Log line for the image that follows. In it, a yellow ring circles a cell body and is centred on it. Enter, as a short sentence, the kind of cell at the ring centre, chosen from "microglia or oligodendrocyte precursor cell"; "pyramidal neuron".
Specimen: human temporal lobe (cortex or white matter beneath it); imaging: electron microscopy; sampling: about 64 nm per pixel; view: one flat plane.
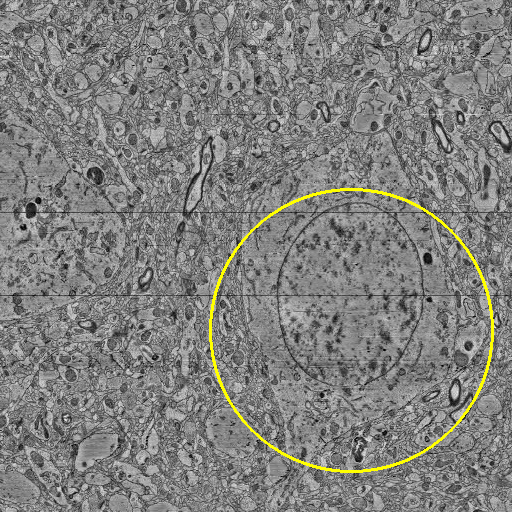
The ring centre is occupied by a pyramidal neuron.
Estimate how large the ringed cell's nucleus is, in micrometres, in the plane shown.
In this plane the nucleus measures roughly 12 by 10 micrometers.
